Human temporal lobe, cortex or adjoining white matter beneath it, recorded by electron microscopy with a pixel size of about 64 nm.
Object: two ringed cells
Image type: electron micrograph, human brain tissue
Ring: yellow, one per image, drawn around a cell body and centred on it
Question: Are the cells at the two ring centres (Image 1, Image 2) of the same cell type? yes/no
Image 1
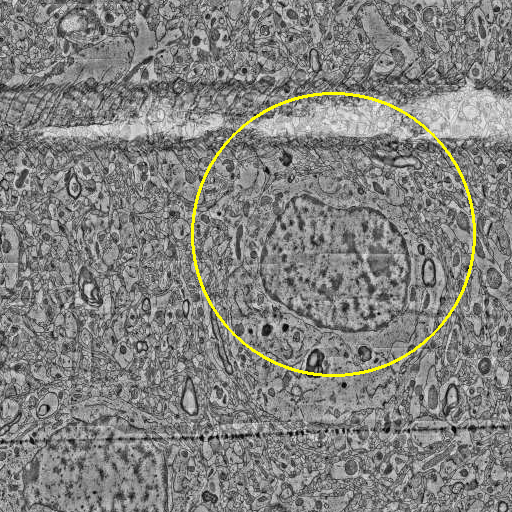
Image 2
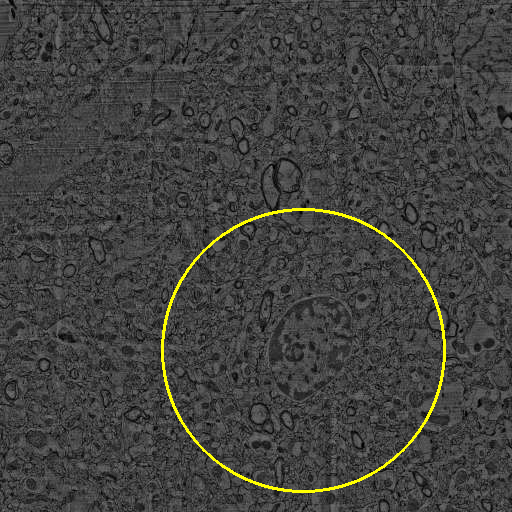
yes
